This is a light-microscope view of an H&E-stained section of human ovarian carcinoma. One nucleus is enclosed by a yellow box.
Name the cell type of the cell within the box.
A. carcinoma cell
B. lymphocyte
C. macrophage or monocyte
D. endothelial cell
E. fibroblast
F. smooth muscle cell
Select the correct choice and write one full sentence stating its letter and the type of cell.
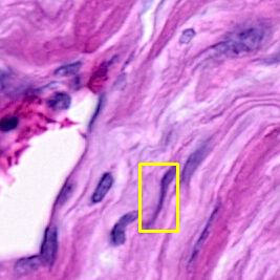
Option E is the right choice, for the cell within the box is a fibroblast.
